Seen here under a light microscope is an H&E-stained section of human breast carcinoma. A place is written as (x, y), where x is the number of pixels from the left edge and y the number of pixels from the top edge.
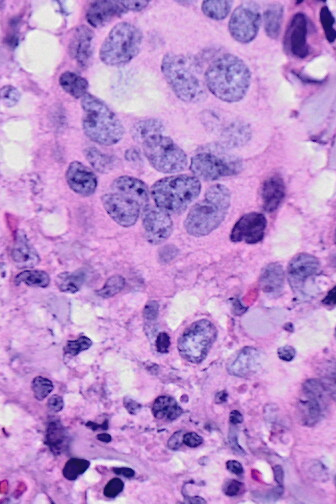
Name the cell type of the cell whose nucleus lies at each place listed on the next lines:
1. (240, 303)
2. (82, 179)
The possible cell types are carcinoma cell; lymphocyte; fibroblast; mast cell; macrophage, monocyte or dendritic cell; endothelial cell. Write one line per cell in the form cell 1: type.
cell 1: endothelial cell
cell 2: carcinoma cell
